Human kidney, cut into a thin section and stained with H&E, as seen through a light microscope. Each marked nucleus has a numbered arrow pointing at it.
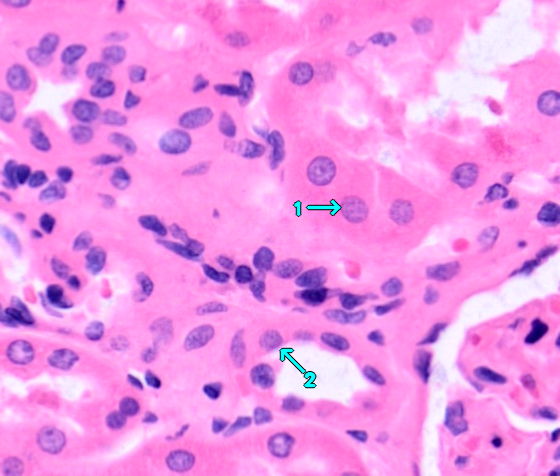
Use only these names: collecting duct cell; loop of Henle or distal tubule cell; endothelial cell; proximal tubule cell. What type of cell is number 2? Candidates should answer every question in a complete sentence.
Cell number 2 in this section is a loop of Henle or distal tubule cell.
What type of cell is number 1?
The cell numbered 1 represents a proximal tubule cell.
